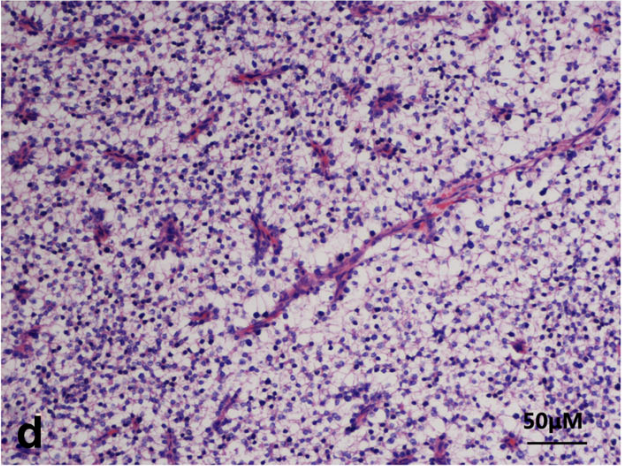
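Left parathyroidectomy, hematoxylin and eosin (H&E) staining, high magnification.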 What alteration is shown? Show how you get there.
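Cells have pale, clear cytoplasm with thin cell borders. Nuclei are small, round and dark.
Hence: cytoplasm being transparent.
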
